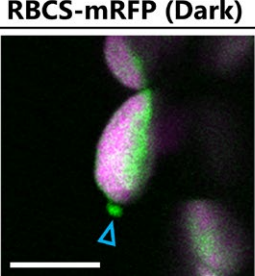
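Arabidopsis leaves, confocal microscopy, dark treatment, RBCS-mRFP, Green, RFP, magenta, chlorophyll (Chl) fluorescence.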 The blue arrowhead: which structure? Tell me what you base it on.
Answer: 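Chloroplast budding structures. A small green knob protrudes from the end of an oval body. The knob is green only, lacking magenta.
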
